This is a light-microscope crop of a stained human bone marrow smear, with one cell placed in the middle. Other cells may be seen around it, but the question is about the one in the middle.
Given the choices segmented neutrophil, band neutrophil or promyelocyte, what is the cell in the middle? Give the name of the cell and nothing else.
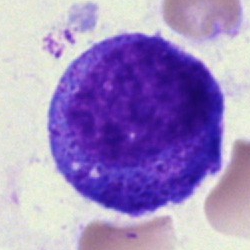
promyelocyte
